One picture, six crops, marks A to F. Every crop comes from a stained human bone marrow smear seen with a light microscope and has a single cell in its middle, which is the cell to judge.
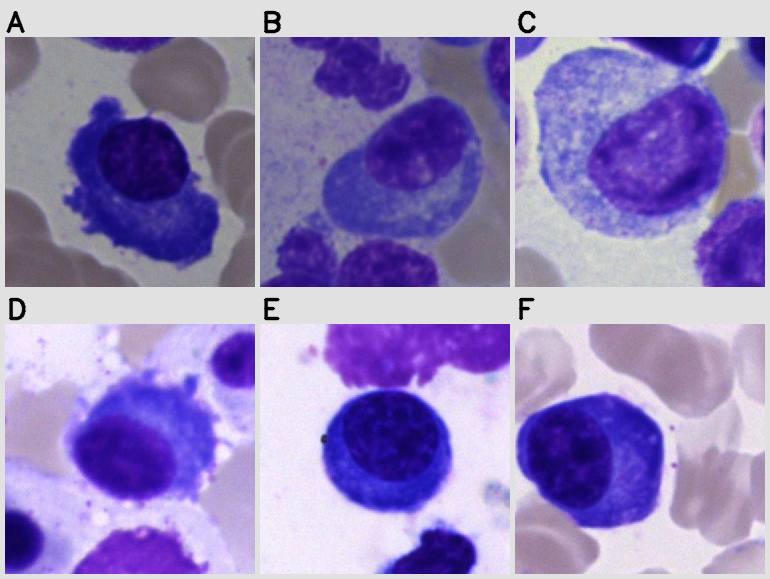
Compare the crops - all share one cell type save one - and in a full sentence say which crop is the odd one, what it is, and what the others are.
Crop C does not fit, being a promyelocyte where all the others show plasma cells.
